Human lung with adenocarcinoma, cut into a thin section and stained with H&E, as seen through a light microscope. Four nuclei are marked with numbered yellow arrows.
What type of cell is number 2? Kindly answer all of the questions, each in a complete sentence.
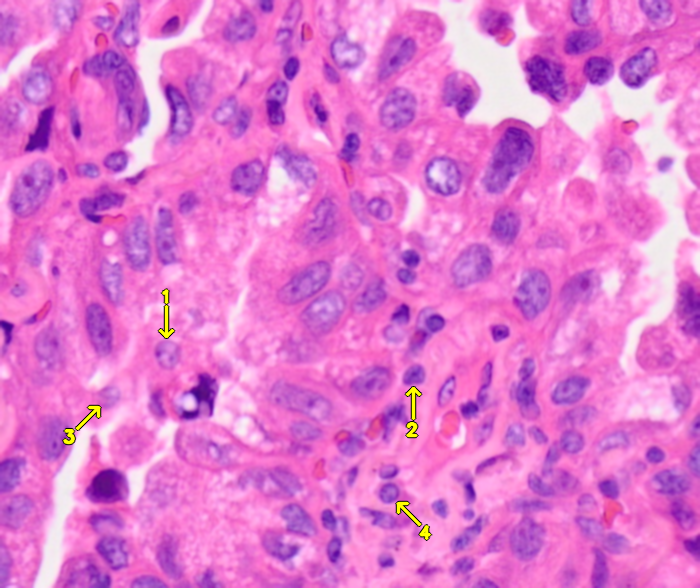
Cell 2 should be recorded as a lymphocyte.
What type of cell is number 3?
Recognised here as a macrophage or monocyte is the cell numbered 3.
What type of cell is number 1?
Classified as a macrophage or monocyte is the cell with the number 1.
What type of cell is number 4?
The cell indicated with the number 4 is classed as a plasma cell.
